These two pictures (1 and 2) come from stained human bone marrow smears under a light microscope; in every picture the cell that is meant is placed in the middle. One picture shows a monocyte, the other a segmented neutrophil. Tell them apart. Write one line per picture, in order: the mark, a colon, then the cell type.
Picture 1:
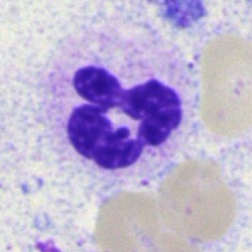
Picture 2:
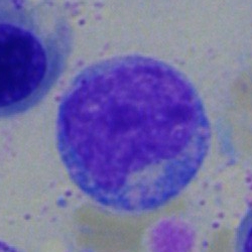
1: segmented neutrophil
2: monocyte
